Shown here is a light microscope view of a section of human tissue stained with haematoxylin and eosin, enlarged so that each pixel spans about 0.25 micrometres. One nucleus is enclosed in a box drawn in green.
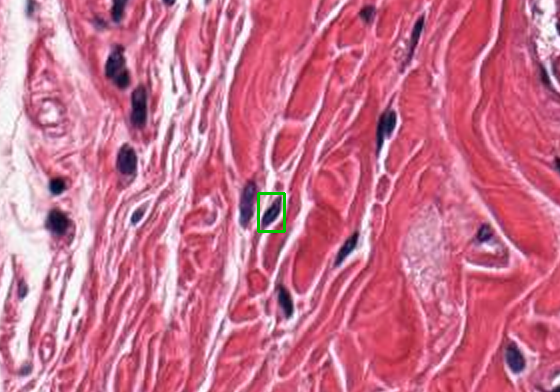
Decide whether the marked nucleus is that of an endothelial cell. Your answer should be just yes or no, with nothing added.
no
